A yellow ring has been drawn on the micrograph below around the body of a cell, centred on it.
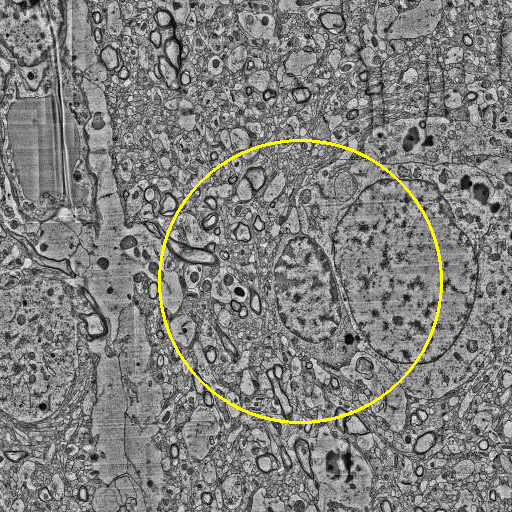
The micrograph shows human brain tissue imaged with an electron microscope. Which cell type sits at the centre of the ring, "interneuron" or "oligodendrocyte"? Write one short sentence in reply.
The cell sitting at the centre of the ring is an oligodendrocyte.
